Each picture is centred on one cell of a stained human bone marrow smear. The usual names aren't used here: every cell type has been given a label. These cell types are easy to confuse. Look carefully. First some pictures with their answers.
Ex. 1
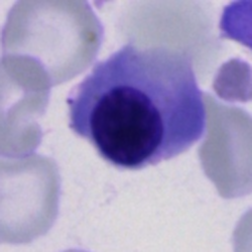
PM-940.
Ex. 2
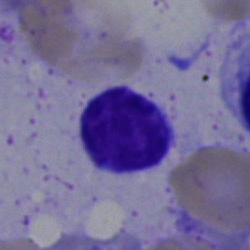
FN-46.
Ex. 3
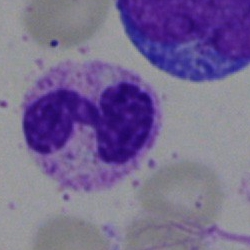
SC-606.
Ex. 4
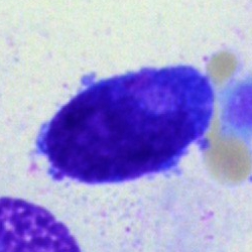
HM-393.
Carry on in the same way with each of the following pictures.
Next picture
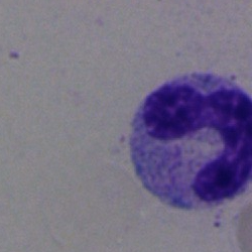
SC-606.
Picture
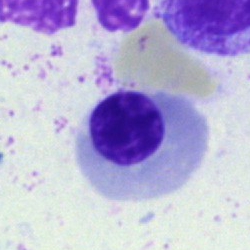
PM-940.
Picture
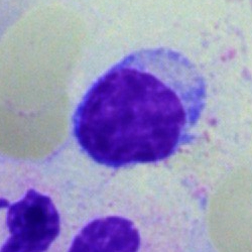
FN-46.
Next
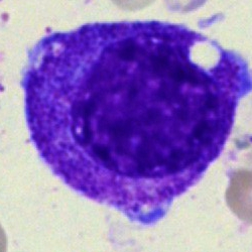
HM-393.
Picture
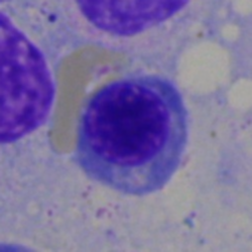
PM-940.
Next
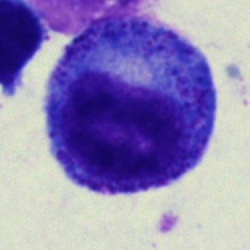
HM-393.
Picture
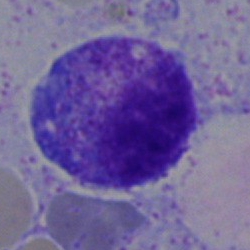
HM-393.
